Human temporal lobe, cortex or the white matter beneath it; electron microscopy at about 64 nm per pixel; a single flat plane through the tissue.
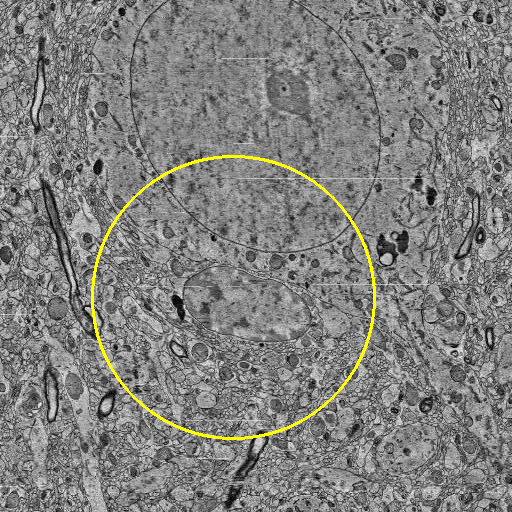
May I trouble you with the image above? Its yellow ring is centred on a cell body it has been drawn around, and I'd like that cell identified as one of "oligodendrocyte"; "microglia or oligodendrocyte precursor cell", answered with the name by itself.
microglia or oligodendrocyte precursor cell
